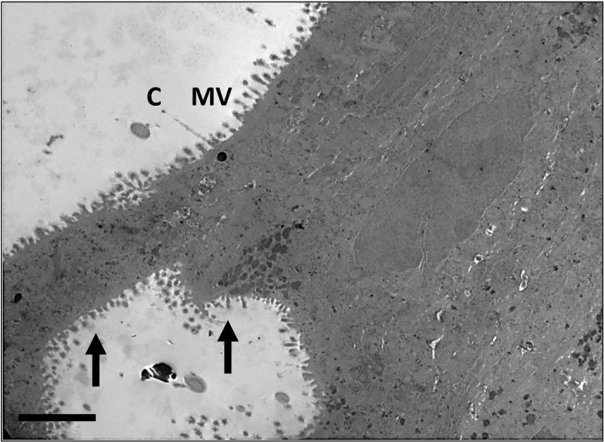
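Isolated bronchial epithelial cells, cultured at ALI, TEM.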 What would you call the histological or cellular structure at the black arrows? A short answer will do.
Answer: 'lumens'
